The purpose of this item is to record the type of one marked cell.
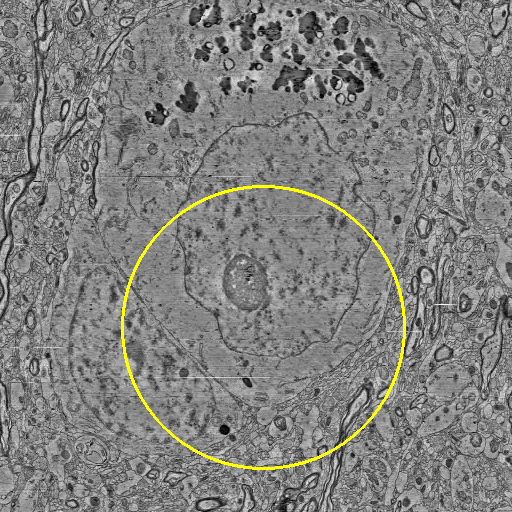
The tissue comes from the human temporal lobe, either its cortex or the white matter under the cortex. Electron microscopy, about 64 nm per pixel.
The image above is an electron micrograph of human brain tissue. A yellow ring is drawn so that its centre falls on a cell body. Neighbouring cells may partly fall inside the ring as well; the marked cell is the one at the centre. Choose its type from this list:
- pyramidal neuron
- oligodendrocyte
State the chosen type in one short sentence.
What the ring marks here is a pyramidal neuron.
